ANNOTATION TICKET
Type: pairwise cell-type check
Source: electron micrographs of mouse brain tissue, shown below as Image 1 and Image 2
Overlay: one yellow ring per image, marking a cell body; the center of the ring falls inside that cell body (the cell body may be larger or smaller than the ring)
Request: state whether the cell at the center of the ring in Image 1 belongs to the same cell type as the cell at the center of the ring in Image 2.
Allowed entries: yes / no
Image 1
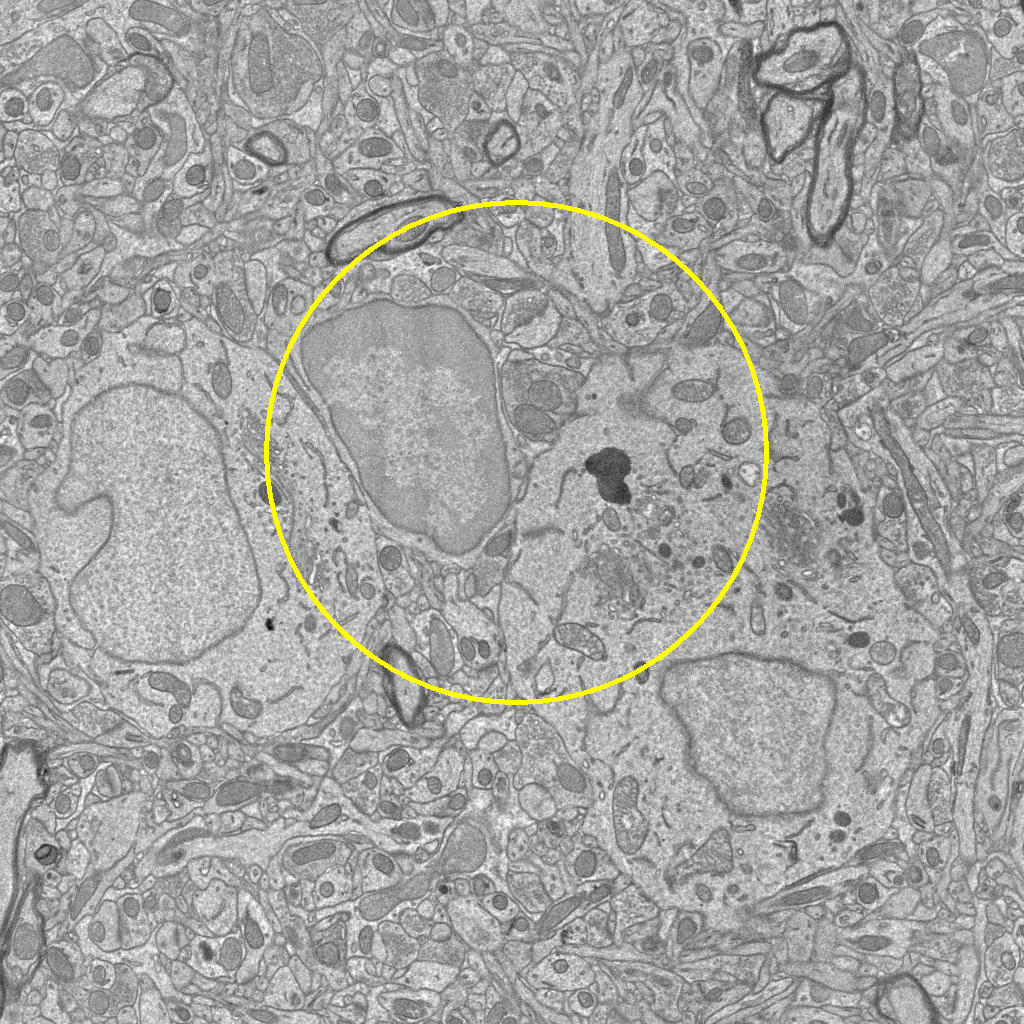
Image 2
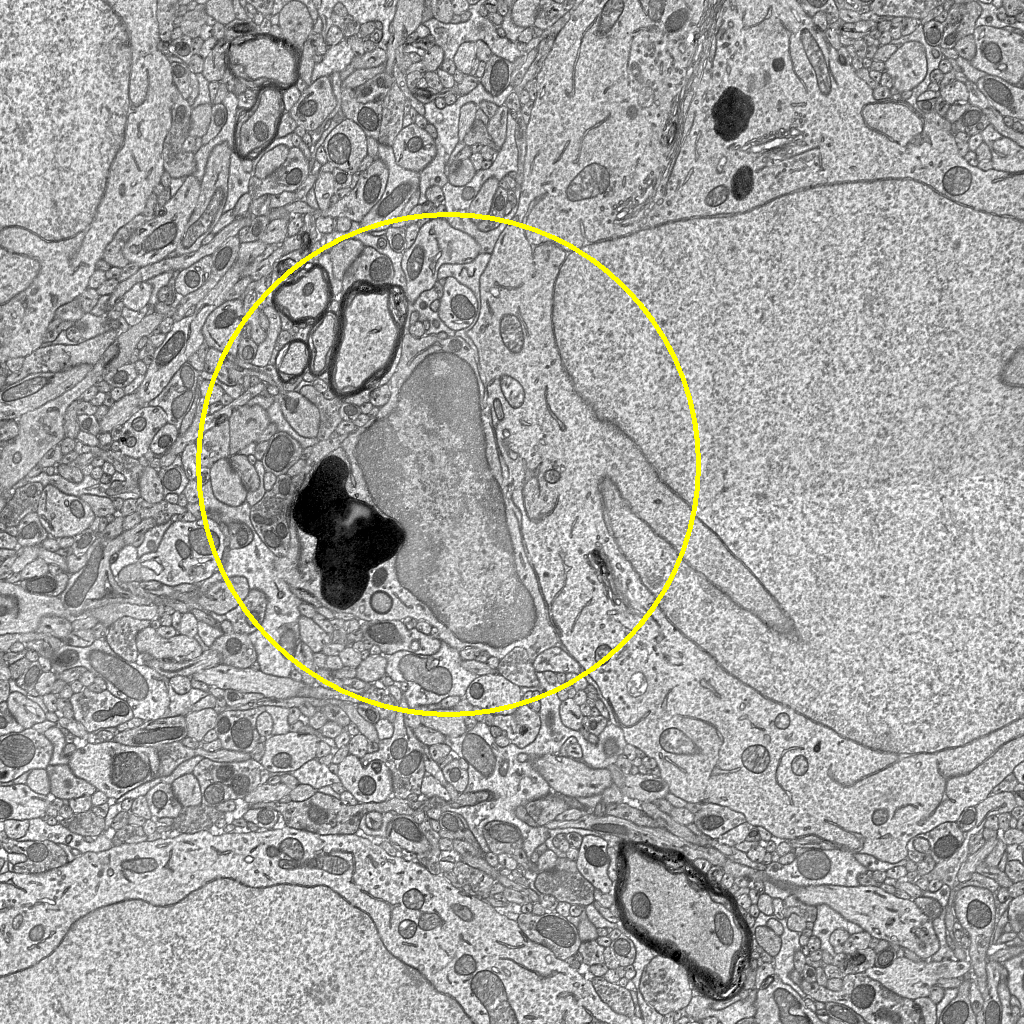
yes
